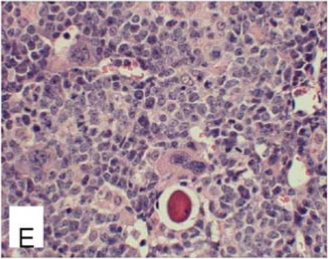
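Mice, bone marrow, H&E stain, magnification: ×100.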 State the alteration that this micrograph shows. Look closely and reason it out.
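Leukemic. The marrow is filled by sheets of fairly uniform, medium-to-large cells with round to oval nuclei. Many of these cells have open, pale chromatin and a moderate rim of pale cytoplasm.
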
